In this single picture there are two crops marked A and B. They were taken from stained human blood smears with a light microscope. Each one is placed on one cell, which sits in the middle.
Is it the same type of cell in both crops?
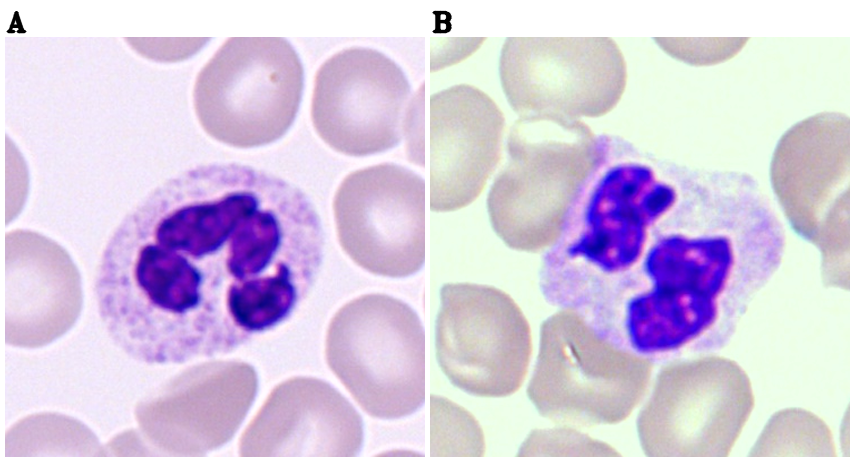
yes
